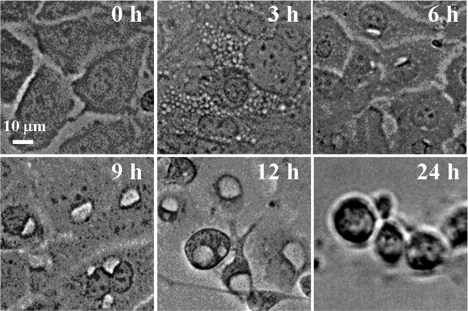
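Next, the cytoplasm around the nucleus fills with many small round refractile vesicles. Later fields show fewer but larger bright irregular vacuoles lying beside the nucleus. Further on, cells begin to round up and contain large clear vacuoles, their outlines dark and thickened. In the last field the cells are small, rounded, dark and clustered, having lost their flat spread shape.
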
